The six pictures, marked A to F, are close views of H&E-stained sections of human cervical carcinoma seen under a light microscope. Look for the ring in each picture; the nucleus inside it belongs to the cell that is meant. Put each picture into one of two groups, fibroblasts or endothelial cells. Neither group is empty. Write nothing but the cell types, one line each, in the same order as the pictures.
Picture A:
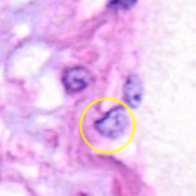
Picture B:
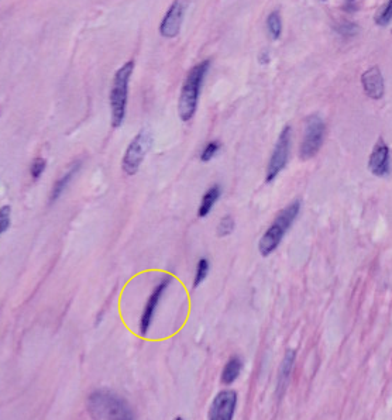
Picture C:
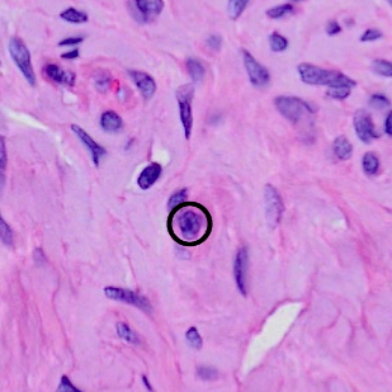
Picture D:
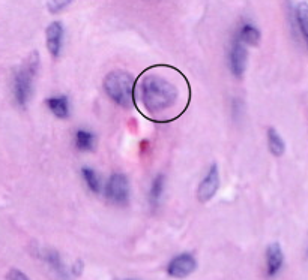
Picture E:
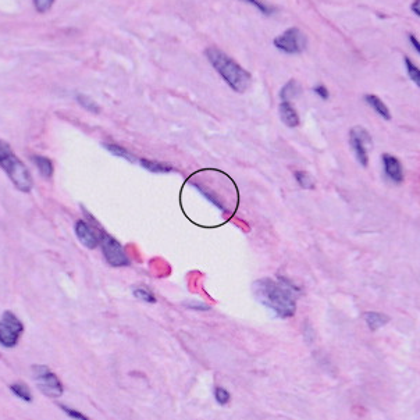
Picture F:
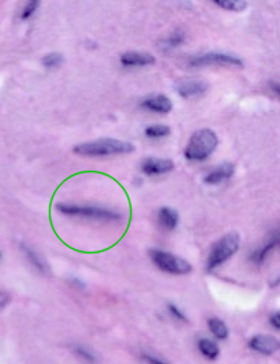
endothelial cell
fibroblast
endothelial cell
endothelial cell
endothelial cell
fibroblast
